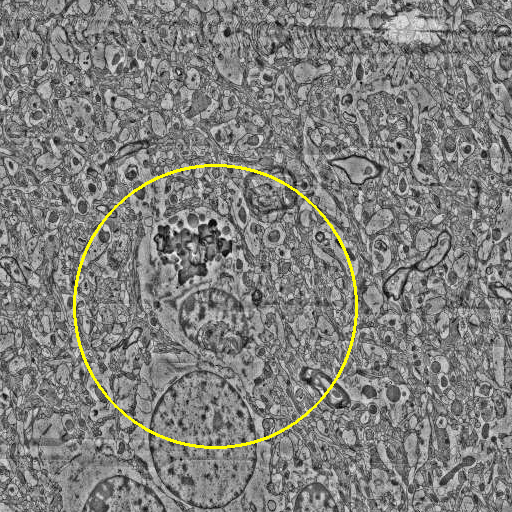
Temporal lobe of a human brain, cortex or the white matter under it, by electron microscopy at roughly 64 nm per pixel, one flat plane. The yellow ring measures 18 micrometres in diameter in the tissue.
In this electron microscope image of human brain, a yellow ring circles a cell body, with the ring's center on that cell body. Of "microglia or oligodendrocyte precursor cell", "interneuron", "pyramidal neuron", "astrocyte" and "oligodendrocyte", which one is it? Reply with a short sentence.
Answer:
It is an astrocyte at the center of the ring.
